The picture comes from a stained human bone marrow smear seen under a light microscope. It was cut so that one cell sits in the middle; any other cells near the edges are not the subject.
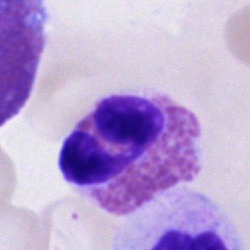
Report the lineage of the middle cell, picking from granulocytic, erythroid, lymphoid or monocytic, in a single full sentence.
Regarding the central cell, its lineage is granulocytic.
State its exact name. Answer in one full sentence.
The cell marked by its central position in the crop is an eosinophil.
